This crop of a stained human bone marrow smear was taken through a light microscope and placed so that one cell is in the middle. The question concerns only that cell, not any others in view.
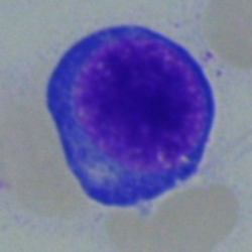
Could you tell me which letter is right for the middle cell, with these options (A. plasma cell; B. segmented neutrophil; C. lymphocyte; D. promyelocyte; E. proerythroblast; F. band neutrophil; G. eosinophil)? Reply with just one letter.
E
